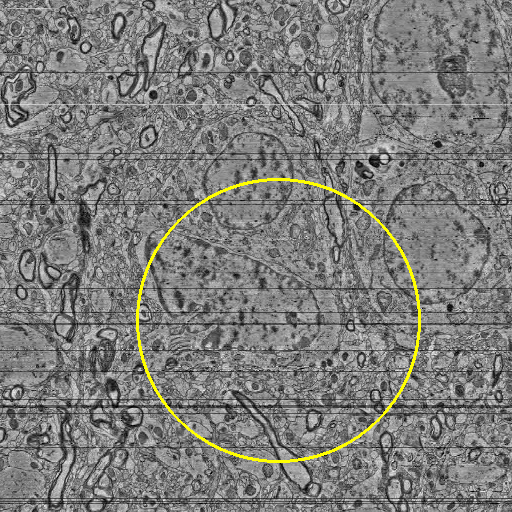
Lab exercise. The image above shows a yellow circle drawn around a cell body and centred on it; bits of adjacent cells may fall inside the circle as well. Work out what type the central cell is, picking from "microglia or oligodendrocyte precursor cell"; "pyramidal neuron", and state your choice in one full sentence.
In the image above, the cell at the centre of the yellow circle is a microglial cell or oligodendrocyte precursor cell.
